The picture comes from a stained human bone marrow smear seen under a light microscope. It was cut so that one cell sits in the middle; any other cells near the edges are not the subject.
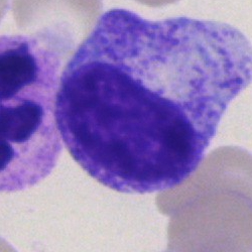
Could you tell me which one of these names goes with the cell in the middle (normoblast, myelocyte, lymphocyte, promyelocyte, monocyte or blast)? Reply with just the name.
myelocyte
